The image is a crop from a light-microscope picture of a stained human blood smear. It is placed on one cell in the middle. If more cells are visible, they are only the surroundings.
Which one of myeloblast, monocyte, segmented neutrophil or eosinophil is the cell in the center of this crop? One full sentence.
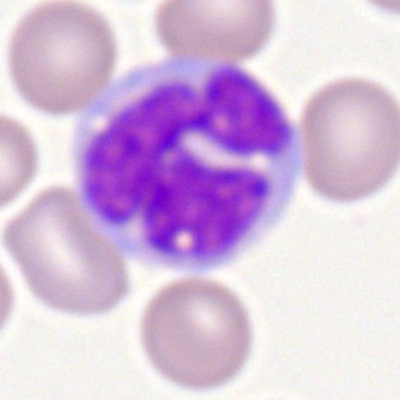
The cell in the exact centre of the crop is a monocyte.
